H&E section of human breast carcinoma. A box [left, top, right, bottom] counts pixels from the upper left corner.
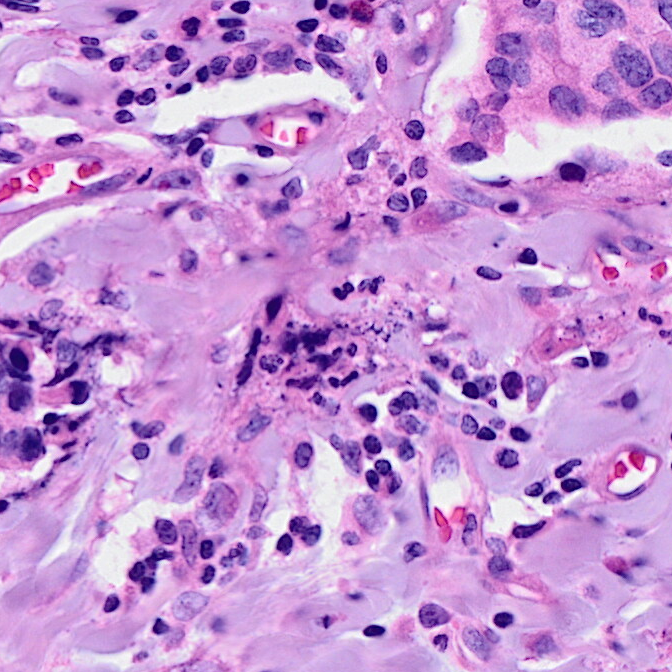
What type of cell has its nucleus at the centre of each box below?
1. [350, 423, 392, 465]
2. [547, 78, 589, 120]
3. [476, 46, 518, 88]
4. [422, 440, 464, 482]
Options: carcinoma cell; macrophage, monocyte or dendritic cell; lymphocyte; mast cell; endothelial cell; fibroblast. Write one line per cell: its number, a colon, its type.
1: lymphocyte
2: carcinoma cell
3: carcinoma cell
4: endothelial cell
